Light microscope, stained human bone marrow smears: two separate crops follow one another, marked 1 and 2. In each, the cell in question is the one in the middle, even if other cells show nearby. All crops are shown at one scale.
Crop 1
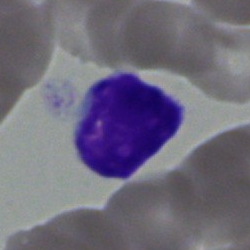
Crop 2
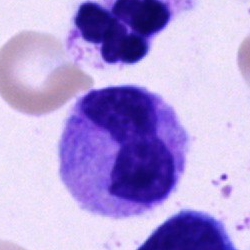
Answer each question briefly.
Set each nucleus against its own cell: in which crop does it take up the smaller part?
2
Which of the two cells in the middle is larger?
2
